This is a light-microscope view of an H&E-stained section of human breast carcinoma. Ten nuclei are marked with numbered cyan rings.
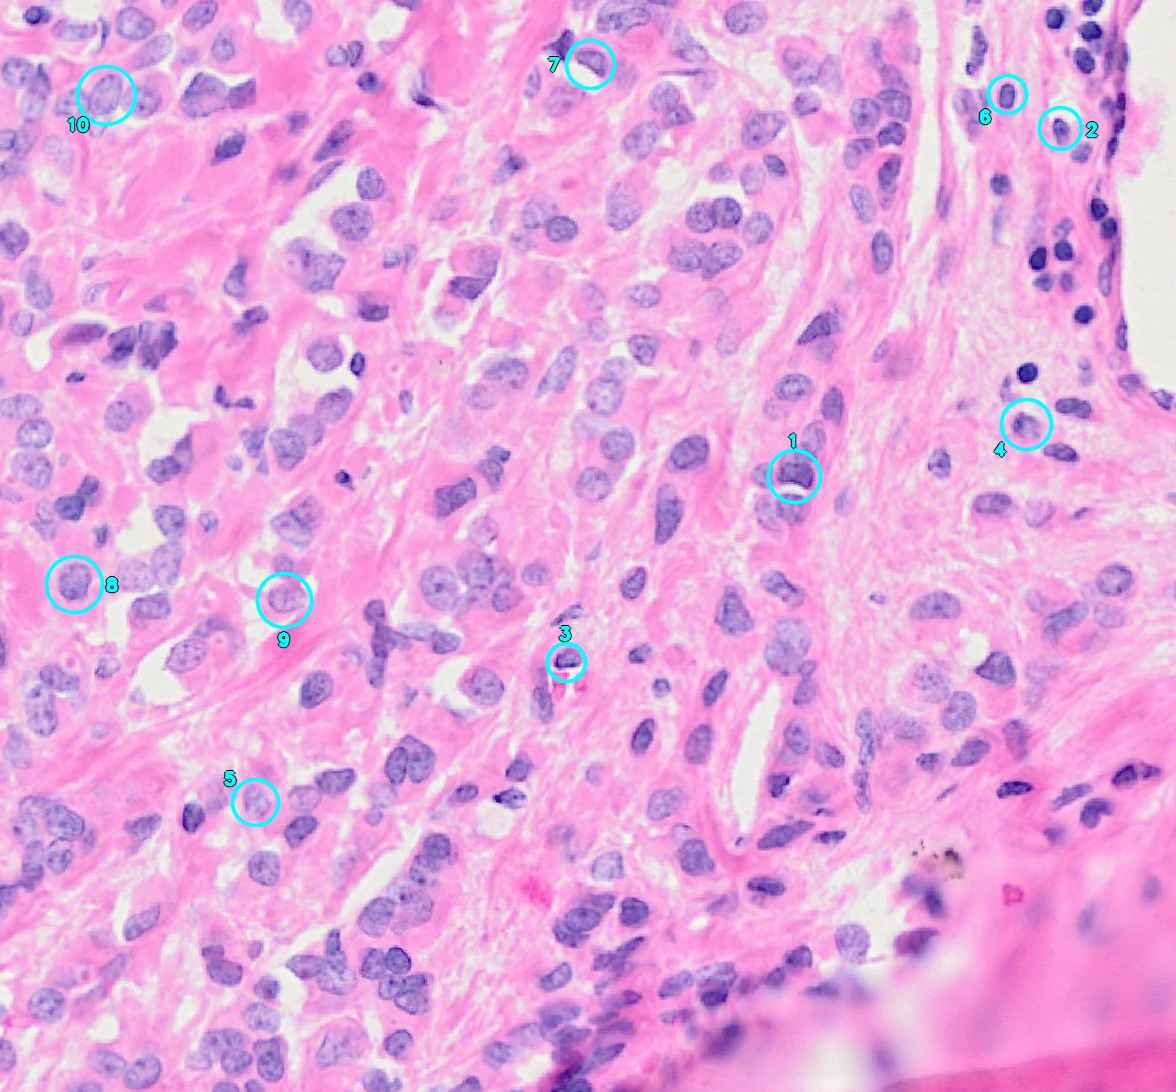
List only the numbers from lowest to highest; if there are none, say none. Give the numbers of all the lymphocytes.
2, 4, 6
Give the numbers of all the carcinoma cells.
1, 5, 7, 8, 9, 10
